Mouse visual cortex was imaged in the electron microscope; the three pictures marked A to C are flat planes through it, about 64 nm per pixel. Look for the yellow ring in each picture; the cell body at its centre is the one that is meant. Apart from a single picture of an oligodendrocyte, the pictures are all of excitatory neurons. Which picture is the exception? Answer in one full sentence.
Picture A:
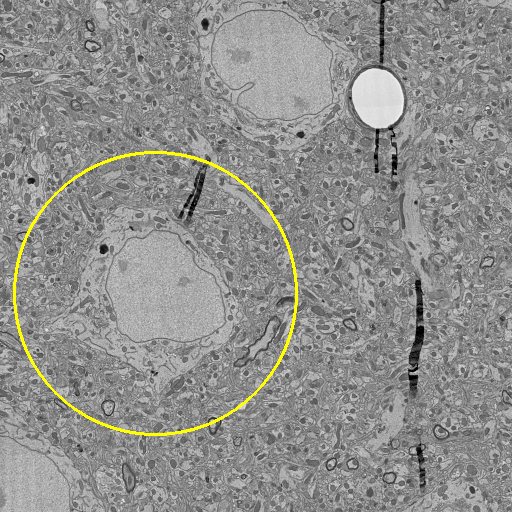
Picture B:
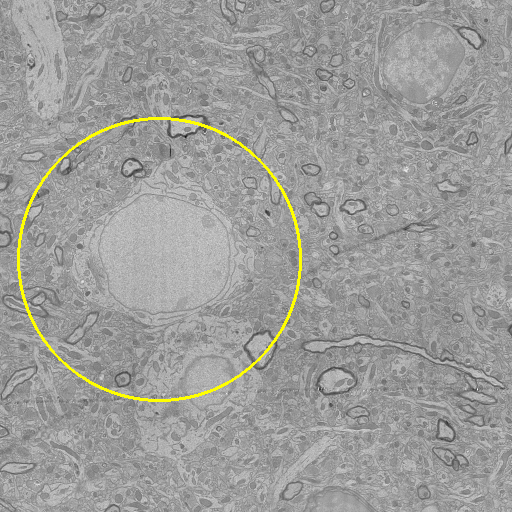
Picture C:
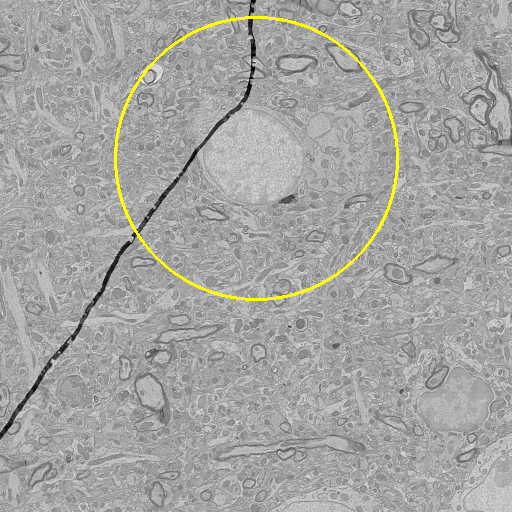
The picture with the oligodendrocyte is C.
